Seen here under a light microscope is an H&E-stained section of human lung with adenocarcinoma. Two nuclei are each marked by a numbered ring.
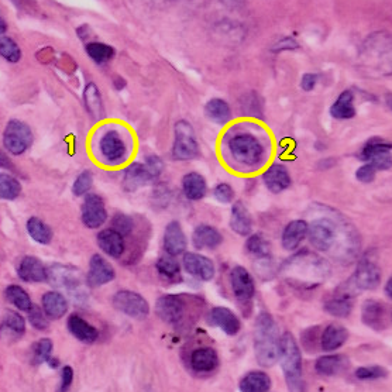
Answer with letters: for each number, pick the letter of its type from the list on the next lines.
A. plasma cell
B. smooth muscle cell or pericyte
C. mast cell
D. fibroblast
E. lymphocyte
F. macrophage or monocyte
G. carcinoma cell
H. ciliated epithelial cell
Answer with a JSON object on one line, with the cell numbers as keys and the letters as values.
{"1": "E", "2": "A"}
